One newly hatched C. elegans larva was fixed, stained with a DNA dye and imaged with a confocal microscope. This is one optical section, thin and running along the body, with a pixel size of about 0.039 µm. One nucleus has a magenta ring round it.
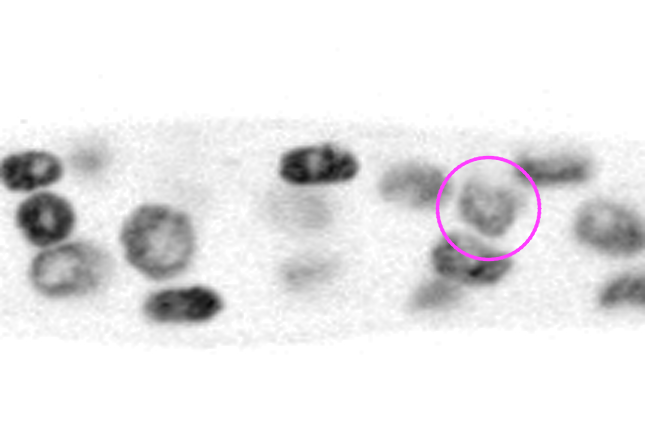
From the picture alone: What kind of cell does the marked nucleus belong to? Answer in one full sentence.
The marked nucleus belongs to an intestinal cell.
